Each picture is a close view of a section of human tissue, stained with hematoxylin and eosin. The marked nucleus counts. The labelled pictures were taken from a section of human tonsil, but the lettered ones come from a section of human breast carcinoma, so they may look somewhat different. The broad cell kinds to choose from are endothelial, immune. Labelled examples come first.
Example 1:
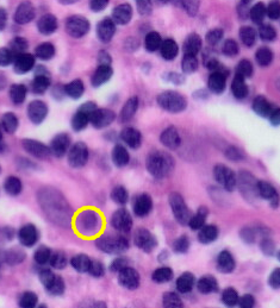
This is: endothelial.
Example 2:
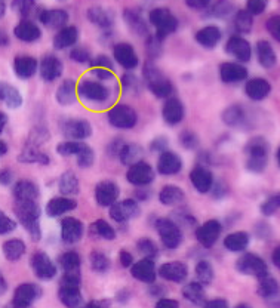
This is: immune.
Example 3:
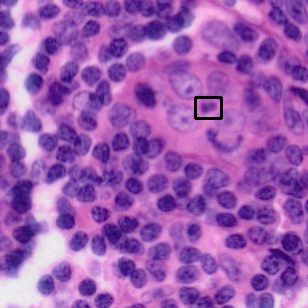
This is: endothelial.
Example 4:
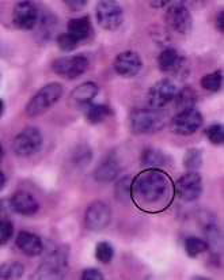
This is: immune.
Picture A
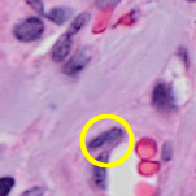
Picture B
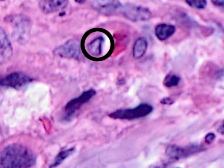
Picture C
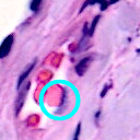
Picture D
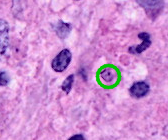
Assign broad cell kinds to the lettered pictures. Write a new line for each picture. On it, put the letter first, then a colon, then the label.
A: endothelial.
B: endothelial.
C: endothelial.
D: immune.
